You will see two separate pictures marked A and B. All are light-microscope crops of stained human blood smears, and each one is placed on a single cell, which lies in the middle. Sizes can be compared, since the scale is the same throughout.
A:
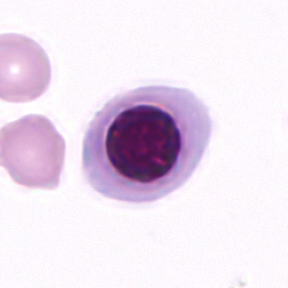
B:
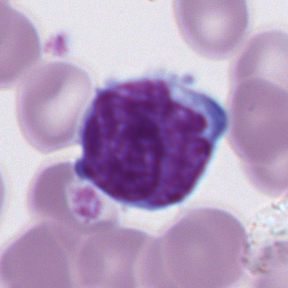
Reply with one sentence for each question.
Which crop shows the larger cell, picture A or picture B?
Larger is the cell in picture B, at roughly 1.5 times the area of the other.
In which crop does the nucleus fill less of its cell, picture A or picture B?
The nucleus fills less of the cell in picture A than in picture B.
